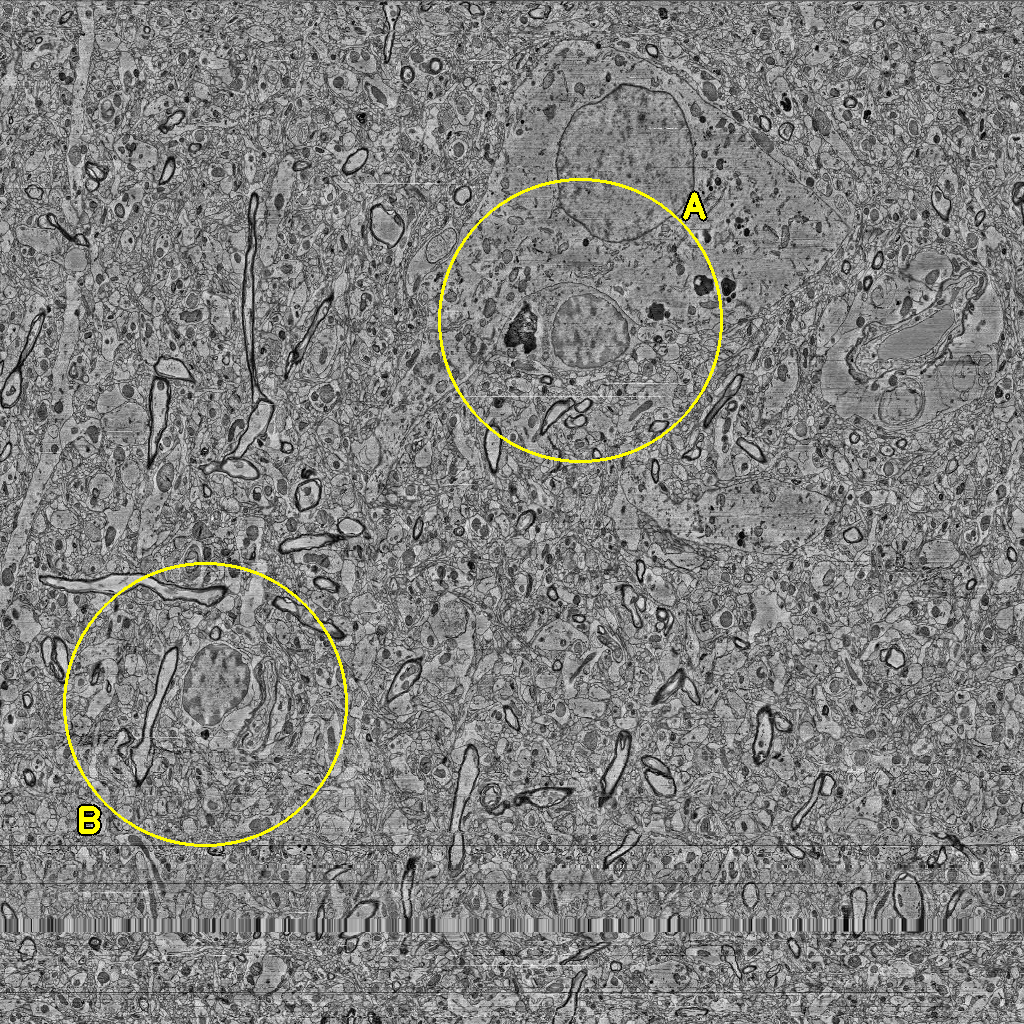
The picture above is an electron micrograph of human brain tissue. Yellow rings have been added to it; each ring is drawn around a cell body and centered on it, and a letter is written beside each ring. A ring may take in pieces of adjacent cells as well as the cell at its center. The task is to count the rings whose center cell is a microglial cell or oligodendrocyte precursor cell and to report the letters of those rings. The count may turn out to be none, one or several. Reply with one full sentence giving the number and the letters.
Just one ring encircles a microglial cell or oligodendrocyte precursor cell at its centre, and that ring is marked B.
